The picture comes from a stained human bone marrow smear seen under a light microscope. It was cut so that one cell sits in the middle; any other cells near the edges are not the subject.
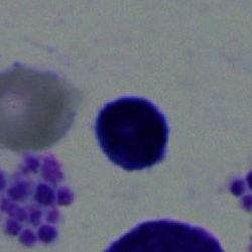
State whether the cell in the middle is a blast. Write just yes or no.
no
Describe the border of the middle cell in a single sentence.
The cell shows a smooth outline that lacks any surface projections.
